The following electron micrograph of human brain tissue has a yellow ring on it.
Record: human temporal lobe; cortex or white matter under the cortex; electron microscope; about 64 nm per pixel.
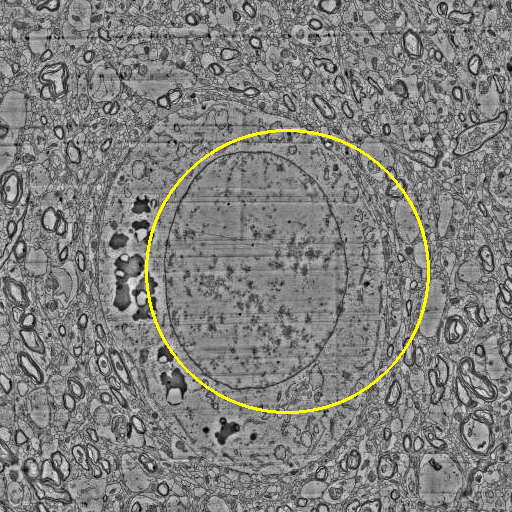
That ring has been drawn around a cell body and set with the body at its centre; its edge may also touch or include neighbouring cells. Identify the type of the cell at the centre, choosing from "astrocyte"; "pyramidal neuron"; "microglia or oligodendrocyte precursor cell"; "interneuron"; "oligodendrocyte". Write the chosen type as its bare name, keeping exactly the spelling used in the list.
pyramidal neuron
